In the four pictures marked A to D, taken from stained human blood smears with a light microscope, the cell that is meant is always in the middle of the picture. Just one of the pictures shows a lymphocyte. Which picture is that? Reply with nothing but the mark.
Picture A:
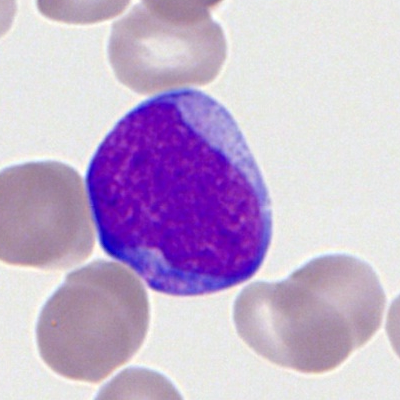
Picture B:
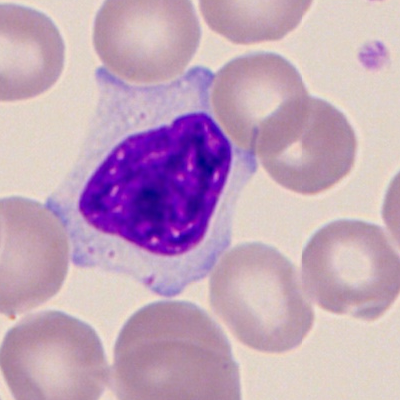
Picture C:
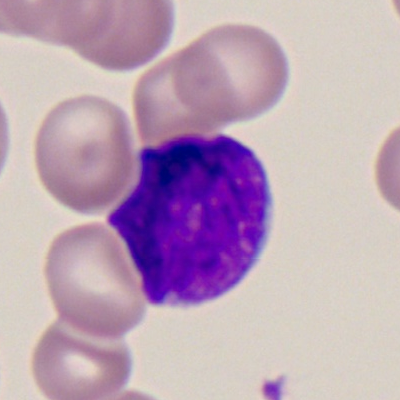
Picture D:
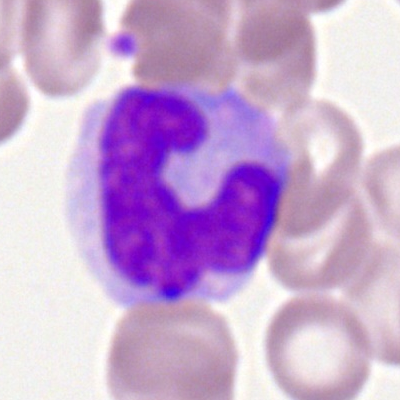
B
